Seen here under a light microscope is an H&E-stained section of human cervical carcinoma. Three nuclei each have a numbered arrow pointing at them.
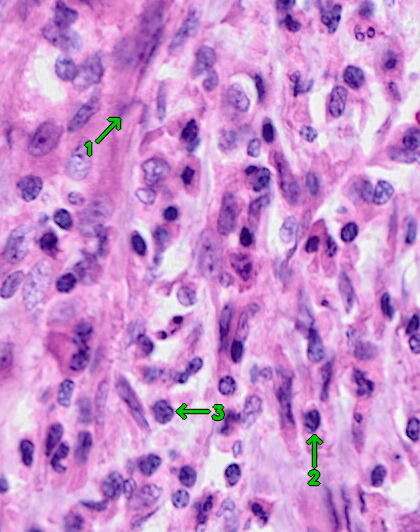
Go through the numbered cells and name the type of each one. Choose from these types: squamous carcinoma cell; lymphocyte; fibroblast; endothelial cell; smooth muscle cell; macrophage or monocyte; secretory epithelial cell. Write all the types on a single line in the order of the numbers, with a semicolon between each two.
fibroblast; lymphocyte; lymphocyte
